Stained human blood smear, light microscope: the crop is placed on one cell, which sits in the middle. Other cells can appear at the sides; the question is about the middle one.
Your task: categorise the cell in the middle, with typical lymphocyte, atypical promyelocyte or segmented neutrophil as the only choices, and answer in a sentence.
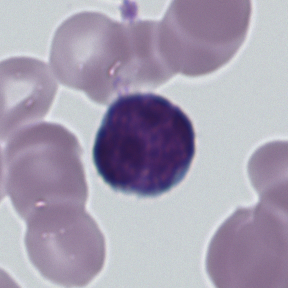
Here the cell in the middle is a typical lymphocyte.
